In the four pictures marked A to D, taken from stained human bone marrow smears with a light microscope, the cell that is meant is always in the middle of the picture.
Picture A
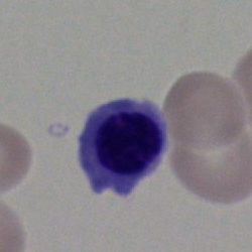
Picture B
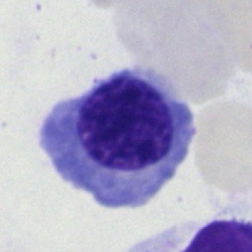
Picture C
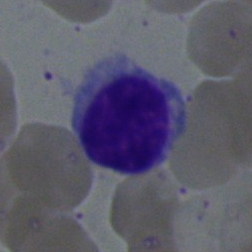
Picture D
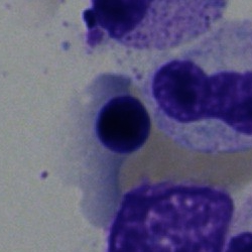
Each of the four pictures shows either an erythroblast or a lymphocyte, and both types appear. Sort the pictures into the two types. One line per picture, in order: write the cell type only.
erythroblast
erythroblast
lymphocyte
erythroblast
